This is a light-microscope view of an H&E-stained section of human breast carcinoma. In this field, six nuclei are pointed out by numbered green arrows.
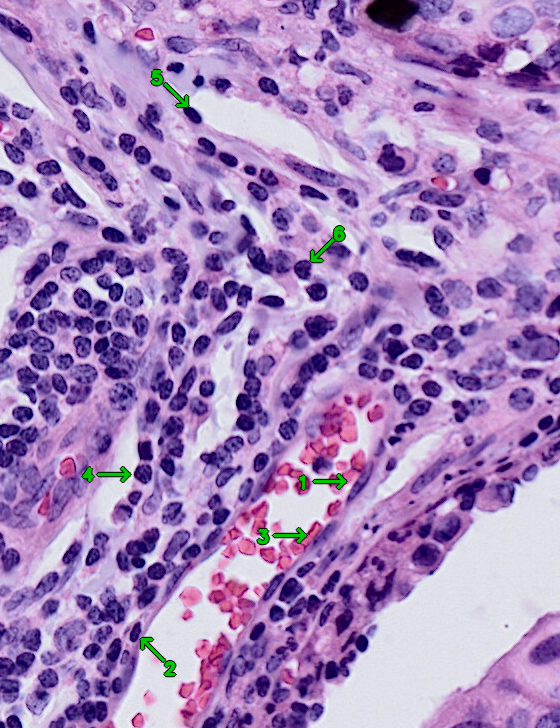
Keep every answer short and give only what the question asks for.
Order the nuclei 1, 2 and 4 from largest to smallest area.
1, 4, 2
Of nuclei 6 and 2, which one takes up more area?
6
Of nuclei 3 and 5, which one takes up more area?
3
